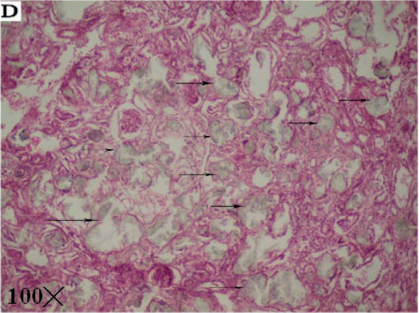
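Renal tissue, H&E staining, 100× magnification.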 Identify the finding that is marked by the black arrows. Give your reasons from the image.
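Many tubular lumina hold translucent grey-green material. The deposits fill dilated tubules throughout the field. So: crystal deposition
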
